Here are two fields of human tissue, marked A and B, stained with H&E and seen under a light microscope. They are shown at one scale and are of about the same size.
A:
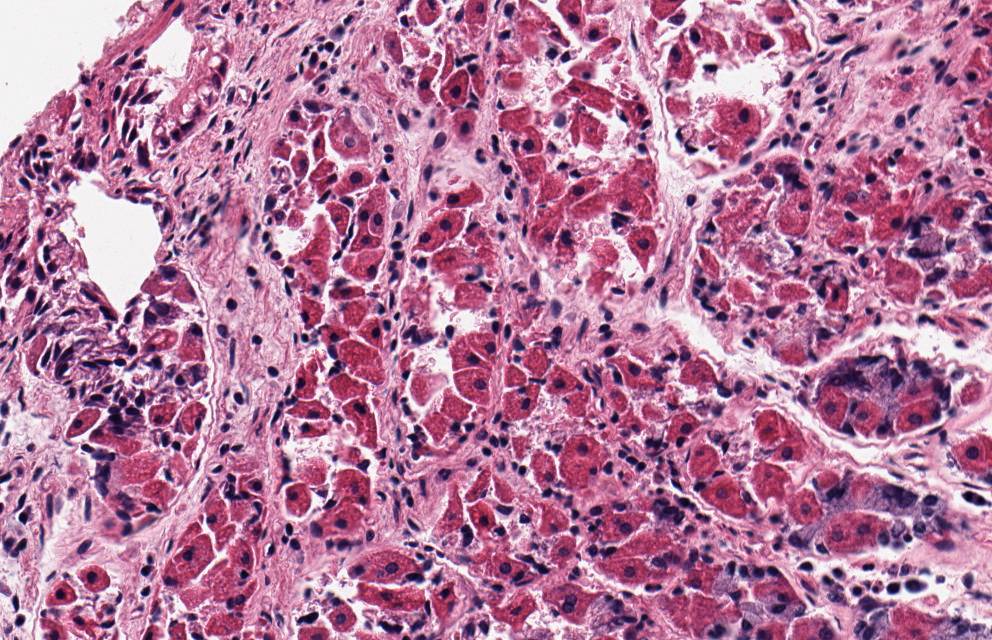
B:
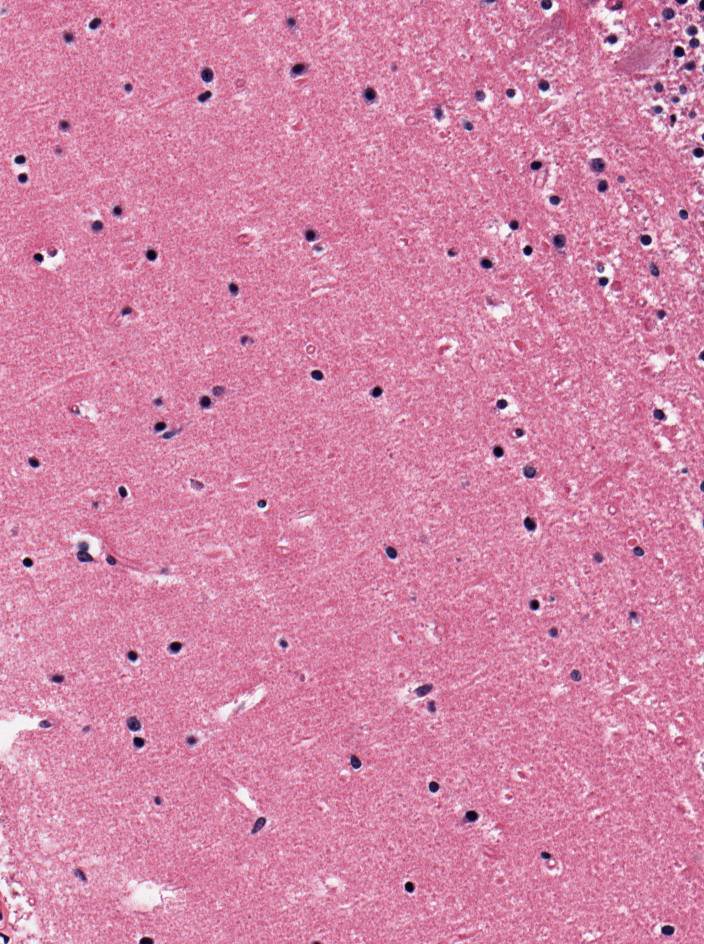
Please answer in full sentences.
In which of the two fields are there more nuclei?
The larger number of nuclei is in picture A.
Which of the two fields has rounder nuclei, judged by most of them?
The nuclei are rounder in picture B.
